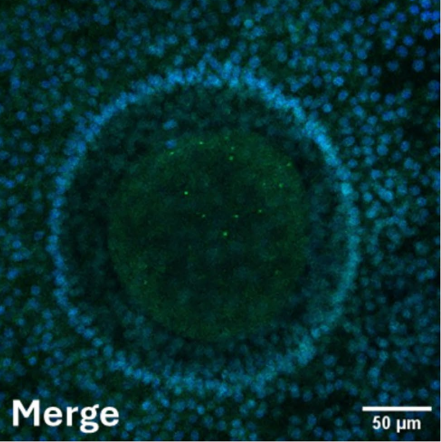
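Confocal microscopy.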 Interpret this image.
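This is a cumulus-oocyte complex seen from above: a single very large round oocyte sits in the middle, surrounded by many small granulosa cells. The oocyte shows as a broad, dim, faintly green disc without the small nuclei of the surrounding cells, and a few bright green dots lie scattered inside it. Along its edge the small cells crowd into a tight, continuous ring of blue-green nuclei that outlines the oocyte. The contrast between the single huge cell and the multitude of tiny ones around it is the key feature to notice.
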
